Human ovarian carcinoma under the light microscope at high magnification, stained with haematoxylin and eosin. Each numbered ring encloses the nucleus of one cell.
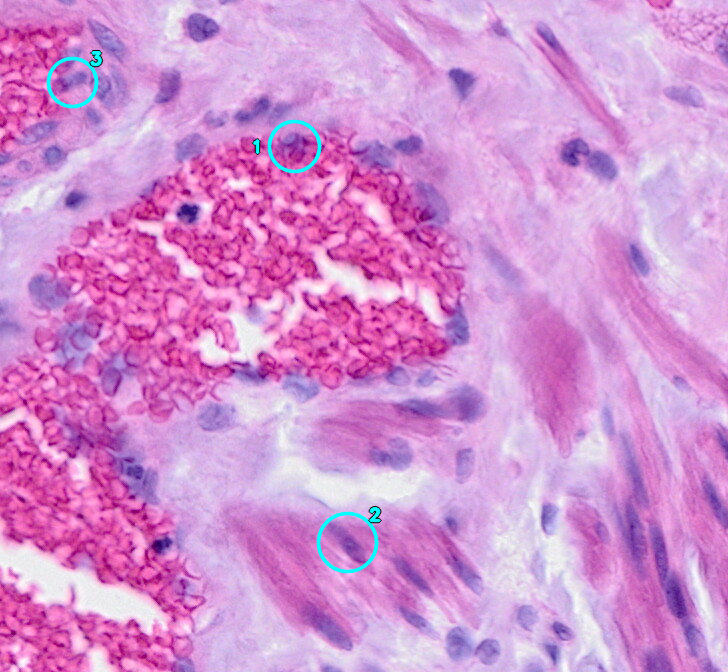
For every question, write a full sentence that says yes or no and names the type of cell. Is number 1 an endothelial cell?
Yes, cell number 1 in this section is an endothelial cell.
